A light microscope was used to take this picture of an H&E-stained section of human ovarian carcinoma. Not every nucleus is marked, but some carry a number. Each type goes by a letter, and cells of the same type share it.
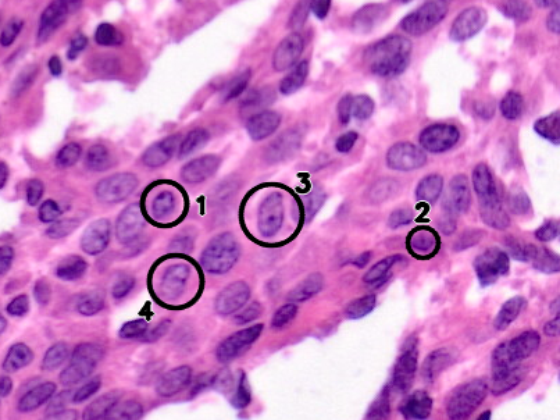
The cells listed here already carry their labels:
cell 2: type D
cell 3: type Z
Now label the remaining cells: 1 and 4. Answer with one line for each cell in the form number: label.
1: type Z
4: type D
